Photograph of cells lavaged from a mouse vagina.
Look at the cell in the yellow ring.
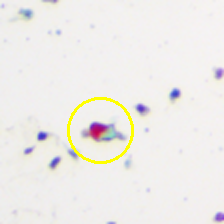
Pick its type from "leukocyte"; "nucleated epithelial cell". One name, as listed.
nucleated epithelial cell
